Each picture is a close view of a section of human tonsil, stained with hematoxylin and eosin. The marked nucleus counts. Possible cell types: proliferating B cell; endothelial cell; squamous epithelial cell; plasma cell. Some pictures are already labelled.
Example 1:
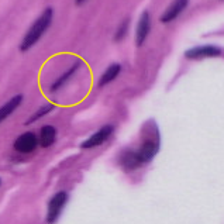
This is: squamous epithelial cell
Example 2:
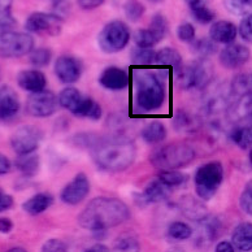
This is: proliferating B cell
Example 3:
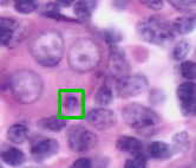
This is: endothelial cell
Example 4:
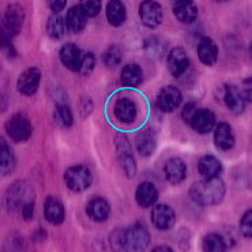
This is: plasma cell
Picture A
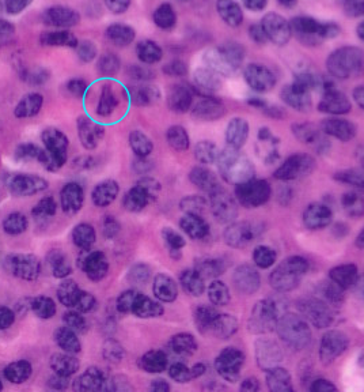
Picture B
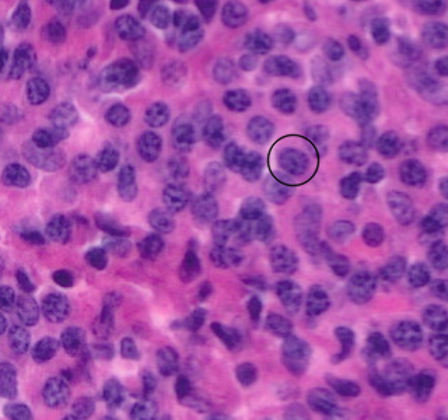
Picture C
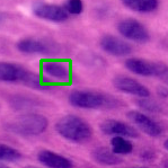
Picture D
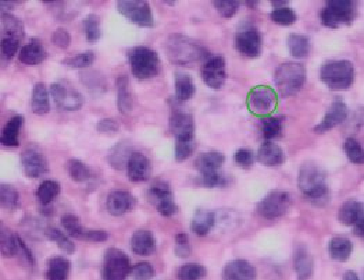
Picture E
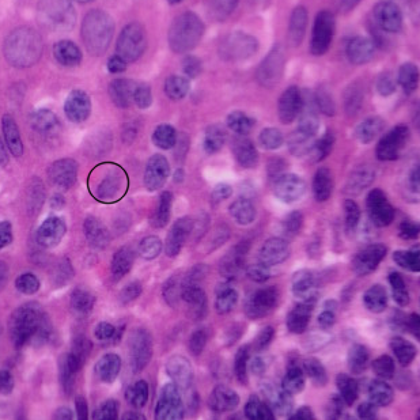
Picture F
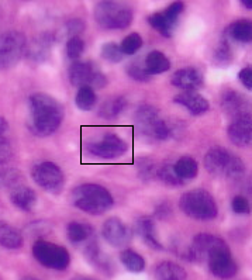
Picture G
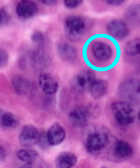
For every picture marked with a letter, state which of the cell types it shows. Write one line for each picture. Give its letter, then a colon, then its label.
A: plasma cell
B: plasma cell
C: squamous epithelial cell
D: proliferating B cell
E: squamous epithelial cell
F: squamous epithelial cell
G: plasma cell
